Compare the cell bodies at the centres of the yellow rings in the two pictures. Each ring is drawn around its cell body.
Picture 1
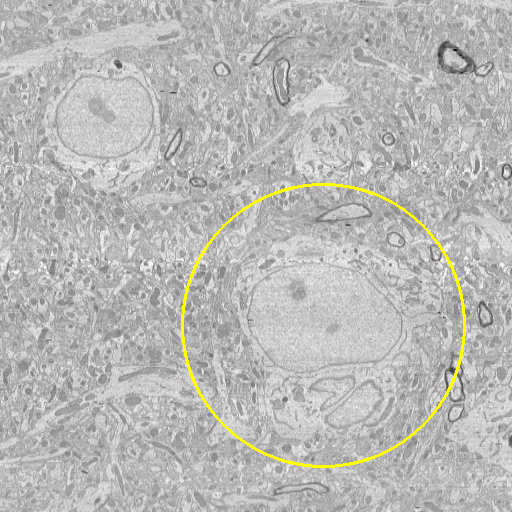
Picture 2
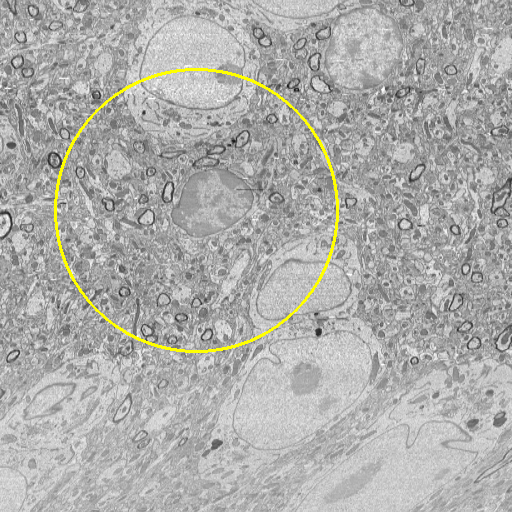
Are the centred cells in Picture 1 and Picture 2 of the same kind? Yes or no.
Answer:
no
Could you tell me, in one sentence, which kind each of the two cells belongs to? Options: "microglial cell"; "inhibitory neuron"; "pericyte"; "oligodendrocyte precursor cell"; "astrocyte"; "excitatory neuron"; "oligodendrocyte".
At the centre of the first ring sits an excitatory neuron, and at the centre of the second sits a microglial cell.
